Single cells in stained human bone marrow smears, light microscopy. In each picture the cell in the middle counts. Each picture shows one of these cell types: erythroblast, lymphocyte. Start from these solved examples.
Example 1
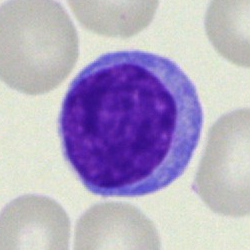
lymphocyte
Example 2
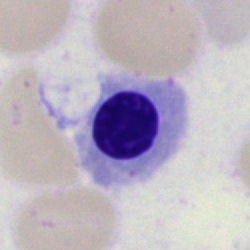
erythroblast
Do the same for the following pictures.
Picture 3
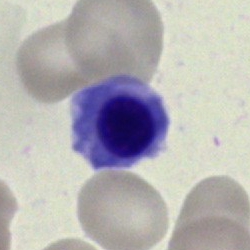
erythroblast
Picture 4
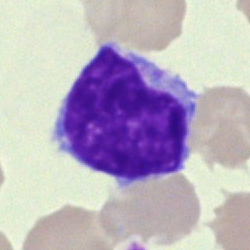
lymphocyte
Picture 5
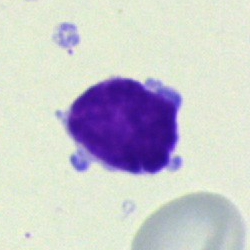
lymphocyte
